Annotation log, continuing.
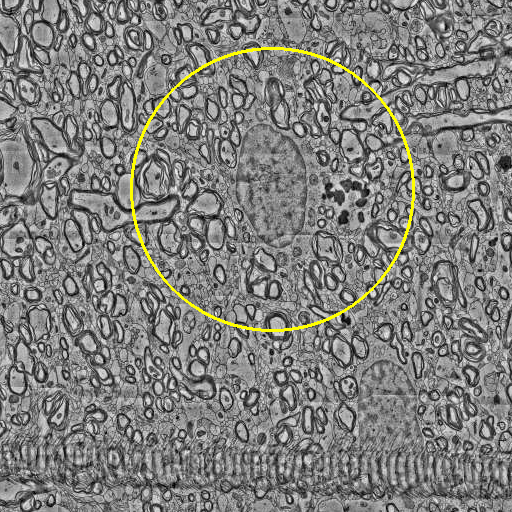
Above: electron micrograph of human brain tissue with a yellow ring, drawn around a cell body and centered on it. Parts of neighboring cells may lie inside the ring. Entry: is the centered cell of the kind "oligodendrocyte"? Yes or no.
Yes, the centered cell is of that kind.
